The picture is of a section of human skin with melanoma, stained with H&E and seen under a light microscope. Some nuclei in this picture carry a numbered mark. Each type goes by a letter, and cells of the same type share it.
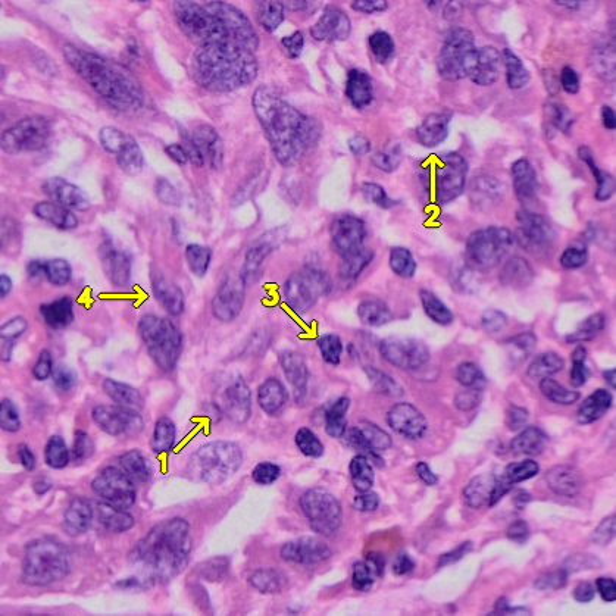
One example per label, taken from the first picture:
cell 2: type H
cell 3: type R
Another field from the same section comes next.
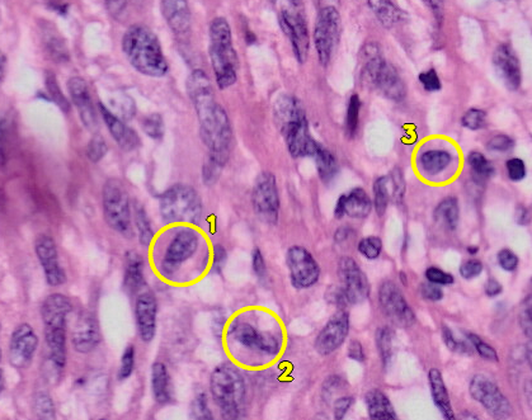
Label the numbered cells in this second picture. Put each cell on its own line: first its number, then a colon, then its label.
1: type H
2: type H
3: type R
